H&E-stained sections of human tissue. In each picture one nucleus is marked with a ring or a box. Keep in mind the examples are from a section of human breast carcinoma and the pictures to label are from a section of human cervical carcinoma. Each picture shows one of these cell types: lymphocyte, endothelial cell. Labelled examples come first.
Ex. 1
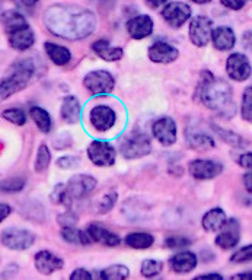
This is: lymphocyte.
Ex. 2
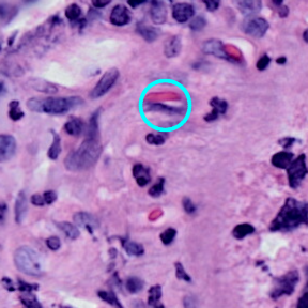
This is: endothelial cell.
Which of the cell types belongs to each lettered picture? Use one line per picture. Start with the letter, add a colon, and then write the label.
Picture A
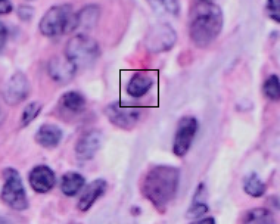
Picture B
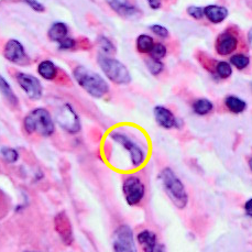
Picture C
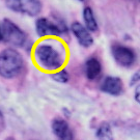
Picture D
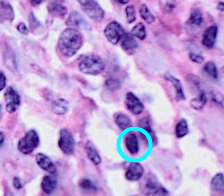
A: lymphocyte.
B: endothelial cell.
C: lymphocyte.
D: lymphocyte.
